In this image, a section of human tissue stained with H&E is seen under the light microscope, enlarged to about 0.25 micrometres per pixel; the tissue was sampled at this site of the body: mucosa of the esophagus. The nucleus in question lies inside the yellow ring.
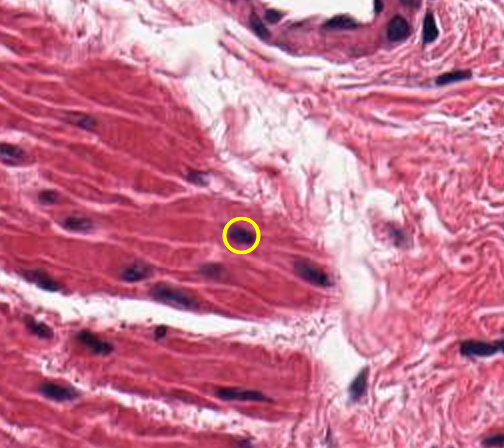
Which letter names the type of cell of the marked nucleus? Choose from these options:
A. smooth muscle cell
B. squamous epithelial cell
A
